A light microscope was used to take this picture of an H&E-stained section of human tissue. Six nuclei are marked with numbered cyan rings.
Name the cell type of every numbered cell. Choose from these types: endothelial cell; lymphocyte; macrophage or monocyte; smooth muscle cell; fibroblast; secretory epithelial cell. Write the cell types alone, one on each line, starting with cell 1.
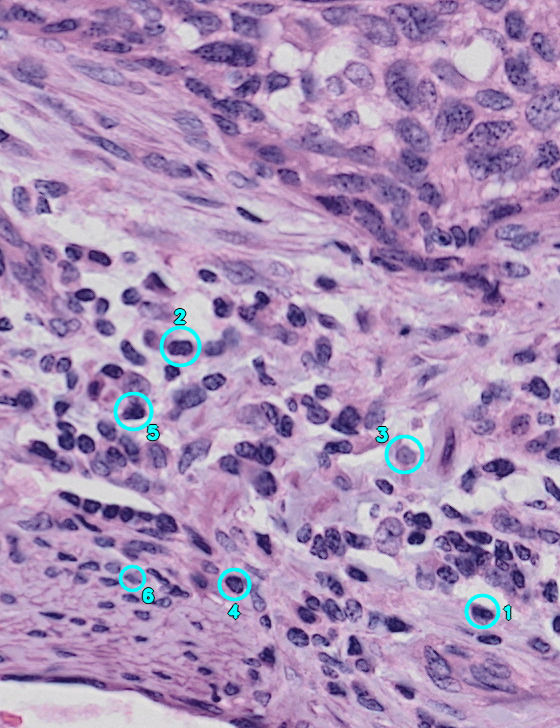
lymphocyte
lymphocyte
macrophage or monocyte
lymphocyte
lymphocyte
fibroblast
